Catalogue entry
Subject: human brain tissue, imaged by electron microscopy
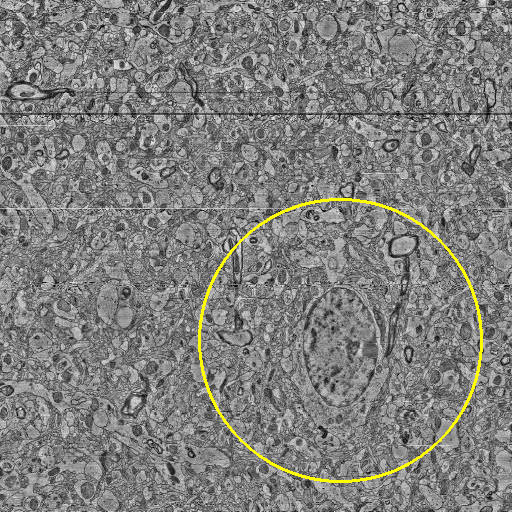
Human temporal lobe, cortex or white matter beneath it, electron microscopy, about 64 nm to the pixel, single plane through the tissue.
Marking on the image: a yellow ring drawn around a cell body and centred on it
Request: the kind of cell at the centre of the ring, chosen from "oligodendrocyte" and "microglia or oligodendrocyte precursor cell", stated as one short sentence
The ring has a microglial cell or oligodendrocyte precursor cell at its centre.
